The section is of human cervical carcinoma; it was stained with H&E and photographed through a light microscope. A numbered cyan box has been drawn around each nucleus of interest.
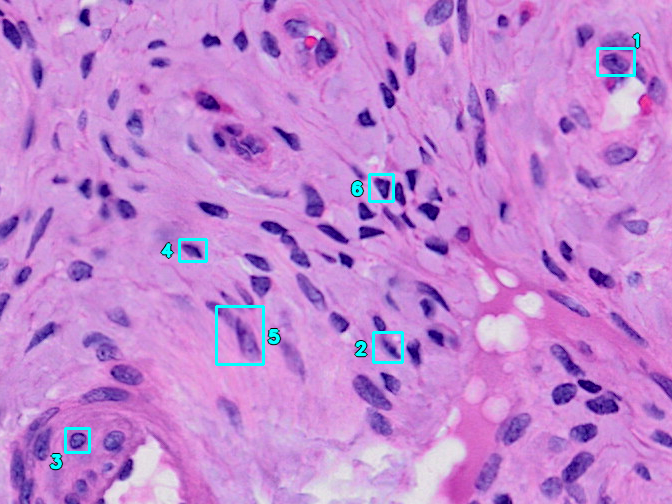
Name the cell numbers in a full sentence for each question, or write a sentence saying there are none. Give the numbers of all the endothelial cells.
Among the numbered cells, an endothelial cell occurs only once, as cell 1.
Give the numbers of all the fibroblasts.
Into the category of fibroblasts fall the cells numbered 2, 4, 5 and 6.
